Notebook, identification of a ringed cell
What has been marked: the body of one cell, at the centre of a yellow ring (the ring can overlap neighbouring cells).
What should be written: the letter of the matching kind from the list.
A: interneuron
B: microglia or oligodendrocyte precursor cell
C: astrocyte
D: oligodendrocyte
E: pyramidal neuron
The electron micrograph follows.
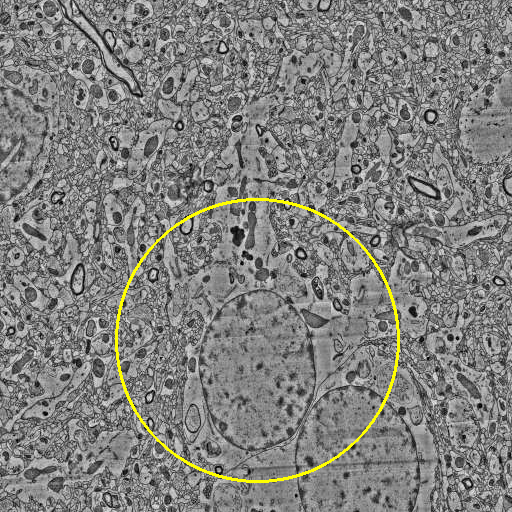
C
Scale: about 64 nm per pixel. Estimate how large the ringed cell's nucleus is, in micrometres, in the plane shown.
The nucleus appears roughly 10 by 7 micrometres in this plane.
